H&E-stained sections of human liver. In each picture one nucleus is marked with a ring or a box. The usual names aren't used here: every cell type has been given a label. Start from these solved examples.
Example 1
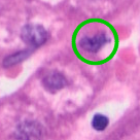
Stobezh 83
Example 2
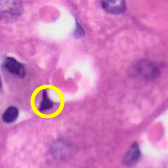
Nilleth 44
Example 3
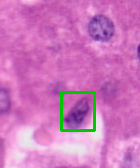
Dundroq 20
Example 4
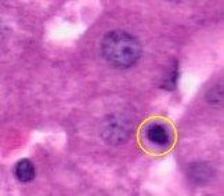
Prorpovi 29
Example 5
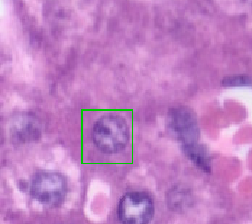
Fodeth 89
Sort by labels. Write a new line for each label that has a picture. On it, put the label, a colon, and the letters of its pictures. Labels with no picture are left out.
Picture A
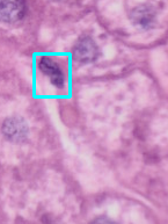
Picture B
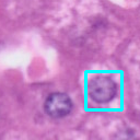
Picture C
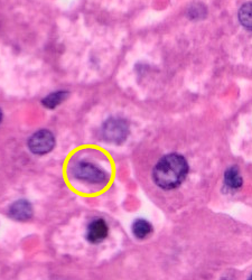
Dundroq 20: A, C
Fodeth 89: B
